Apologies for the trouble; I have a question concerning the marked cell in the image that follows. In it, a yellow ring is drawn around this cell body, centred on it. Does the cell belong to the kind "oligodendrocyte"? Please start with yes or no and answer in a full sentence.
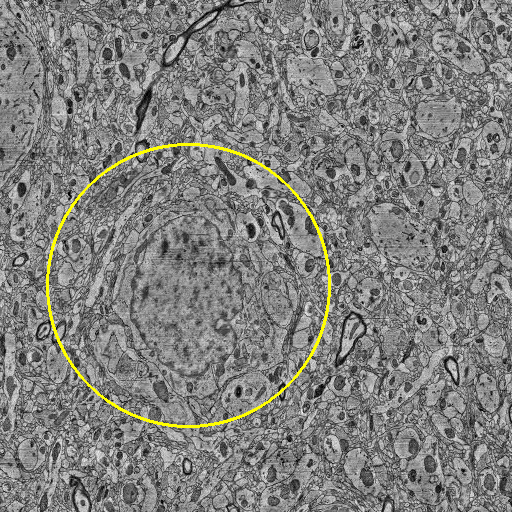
No, the ringed cell in the picture is of a different kind.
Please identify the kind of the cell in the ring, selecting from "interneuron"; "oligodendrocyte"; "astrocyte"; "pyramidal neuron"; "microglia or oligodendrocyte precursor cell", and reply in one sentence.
The cell that the ring is centred on is an interneuron.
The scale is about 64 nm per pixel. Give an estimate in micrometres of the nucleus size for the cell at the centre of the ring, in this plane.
Approximately 10 x 7 micrometres in this plane.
